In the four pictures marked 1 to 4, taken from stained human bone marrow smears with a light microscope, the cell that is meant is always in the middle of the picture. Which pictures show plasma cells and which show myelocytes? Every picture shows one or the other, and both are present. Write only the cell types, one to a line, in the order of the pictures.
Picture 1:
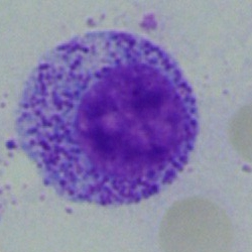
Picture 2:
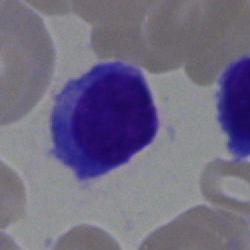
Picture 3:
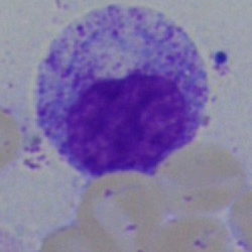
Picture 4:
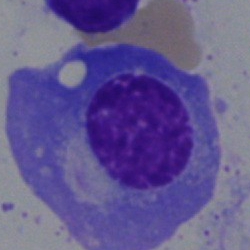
myelocyte
plasma cell
myelocyte
plasma cell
